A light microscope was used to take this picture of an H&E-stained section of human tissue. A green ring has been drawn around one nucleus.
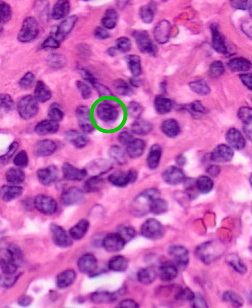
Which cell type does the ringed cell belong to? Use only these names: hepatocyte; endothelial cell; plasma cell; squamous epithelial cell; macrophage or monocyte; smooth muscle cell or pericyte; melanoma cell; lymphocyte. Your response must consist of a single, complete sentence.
In cell-type terms, the ringed cell is a lymphocyte.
